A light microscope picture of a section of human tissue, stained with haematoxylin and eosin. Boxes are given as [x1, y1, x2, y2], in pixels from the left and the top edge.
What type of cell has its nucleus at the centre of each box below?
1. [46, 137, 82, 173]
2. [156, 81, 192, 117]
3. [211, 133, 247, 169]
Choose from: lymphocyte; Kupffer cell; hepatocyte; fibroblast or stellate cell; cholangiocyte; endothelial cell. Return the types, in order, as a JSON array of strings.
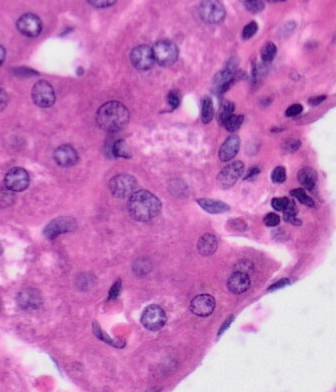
["hepatocyte", "fibroblast or stellate cell", "cholangiocyte"]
